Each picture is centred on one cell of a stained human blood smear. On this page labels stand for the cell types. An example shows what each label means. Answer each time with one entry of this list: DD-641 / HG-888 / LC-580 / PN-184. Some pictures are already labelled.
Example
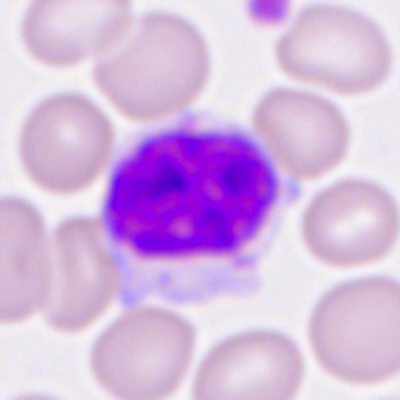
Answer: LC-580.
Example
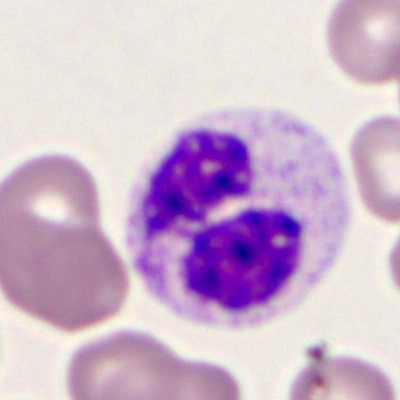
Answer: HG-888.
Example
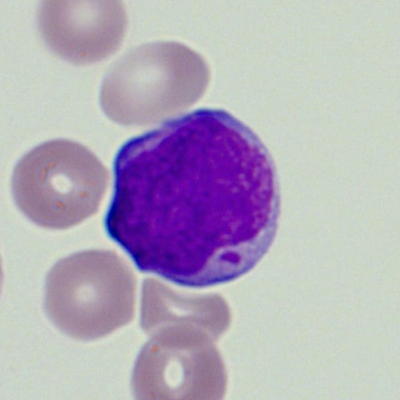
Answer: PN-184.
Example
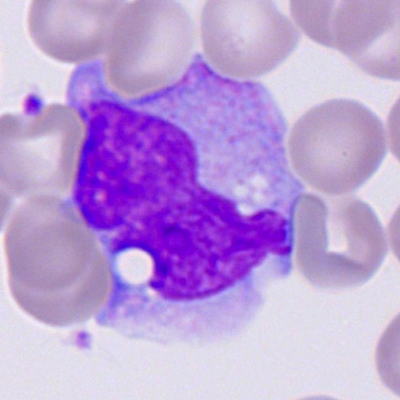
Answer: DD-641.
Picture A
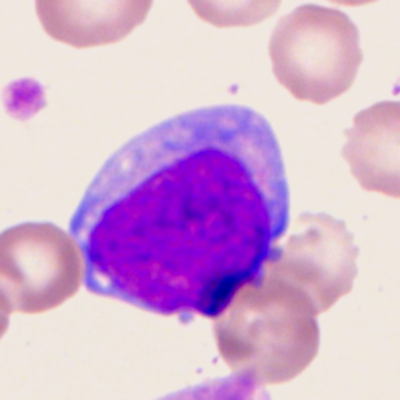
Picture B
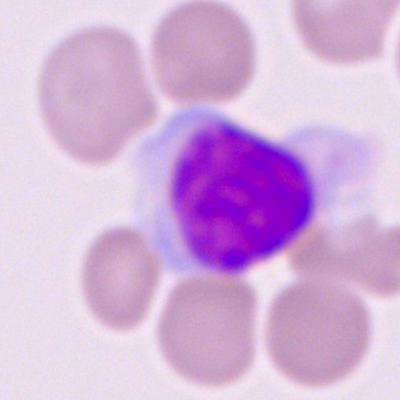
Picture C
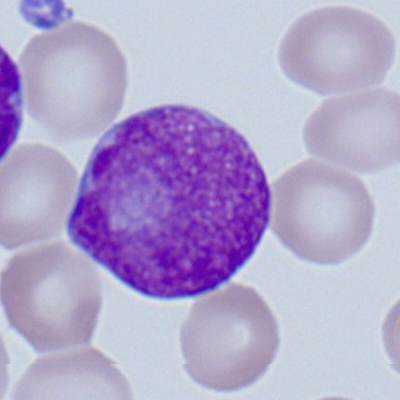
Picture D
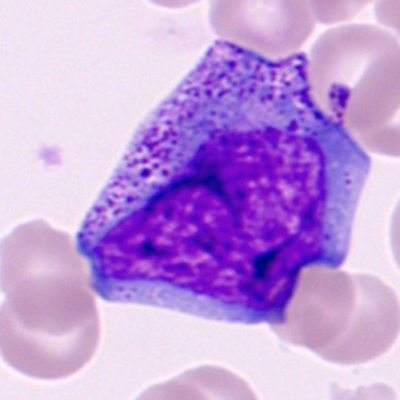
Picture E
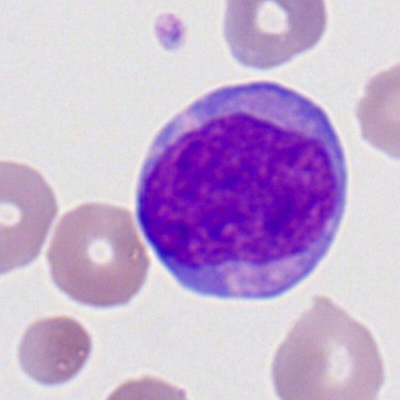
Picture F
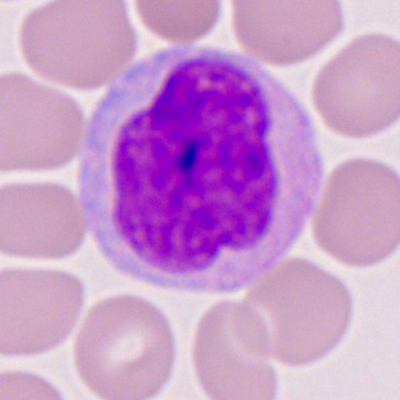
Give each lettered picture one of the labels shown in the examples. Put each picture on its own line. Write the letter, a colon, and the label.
A: PN-184.
B: LC-580.
C: PN-184.
D: PN-184.
E: PN-184.
F: DD-641.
